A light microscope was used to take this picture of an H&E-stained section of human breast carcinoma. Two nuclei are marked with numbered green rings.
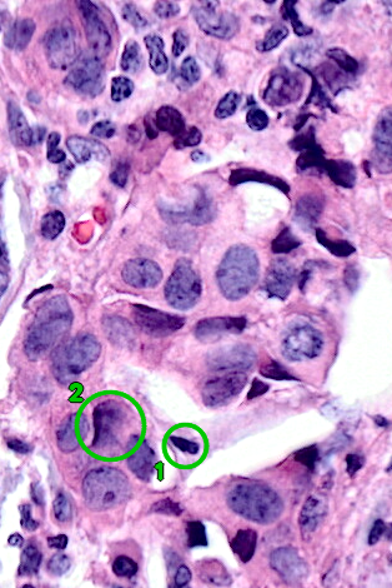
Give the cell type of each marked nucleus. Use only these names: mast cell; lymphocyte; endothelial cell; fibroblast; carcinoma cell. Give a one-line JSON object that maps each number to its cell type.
{"1": "lymphocyte", "2": "carcinoma cell"}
